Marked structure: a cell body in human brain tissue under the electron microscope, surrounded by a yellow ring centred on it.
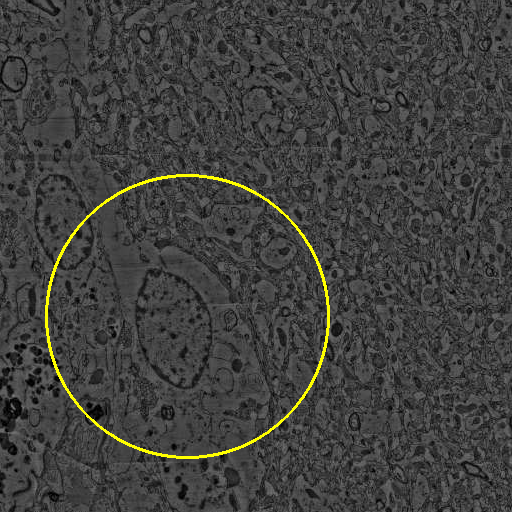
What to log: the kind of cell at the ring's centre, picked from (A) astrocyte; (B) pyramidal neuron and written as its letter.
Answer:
A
